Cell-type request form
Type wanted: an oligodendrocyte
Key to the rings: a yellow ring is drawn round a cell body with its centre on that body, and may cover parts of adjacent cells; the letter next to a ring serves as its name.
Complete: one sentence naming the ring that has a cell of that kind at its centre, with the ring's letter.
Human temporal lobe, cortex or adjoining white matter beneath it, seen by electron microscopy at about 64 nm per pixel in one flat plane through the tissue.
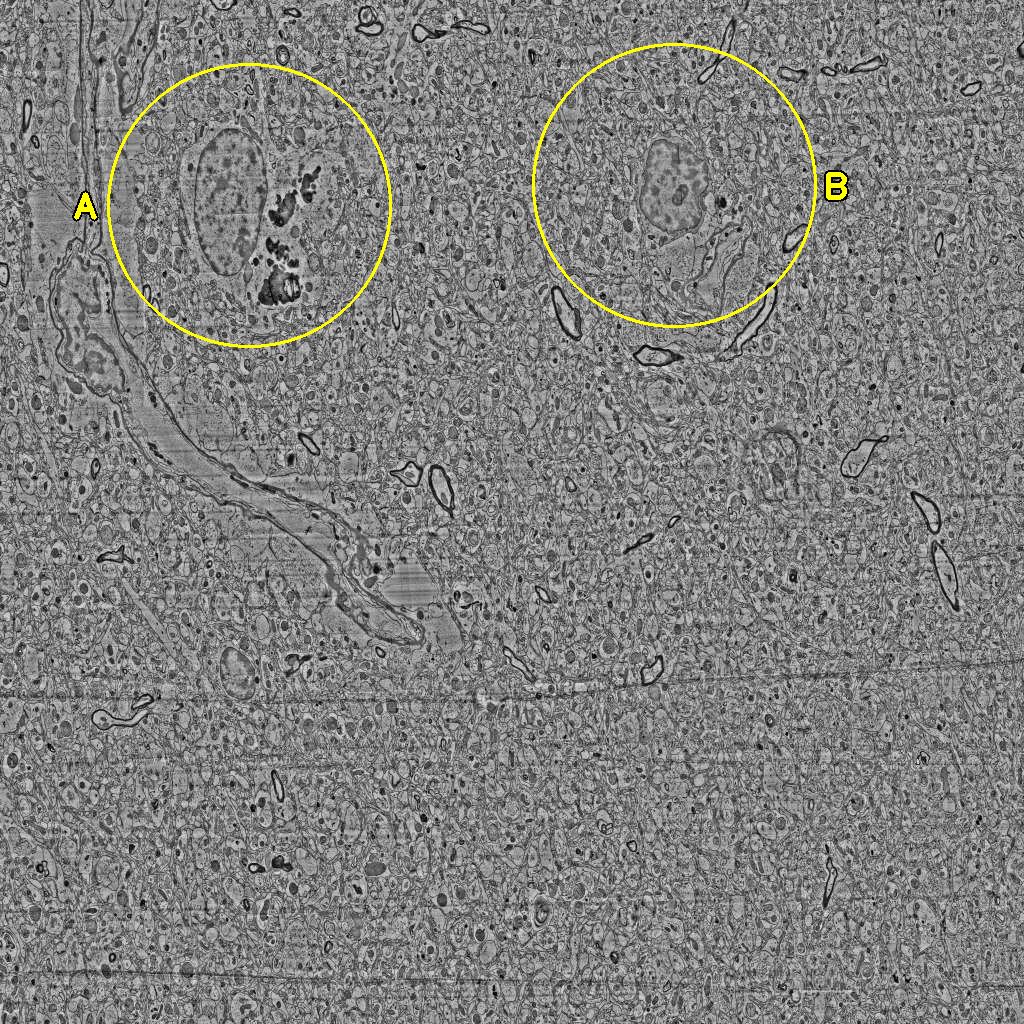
A cell of that kind sits at the centre of the ring labelled B.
